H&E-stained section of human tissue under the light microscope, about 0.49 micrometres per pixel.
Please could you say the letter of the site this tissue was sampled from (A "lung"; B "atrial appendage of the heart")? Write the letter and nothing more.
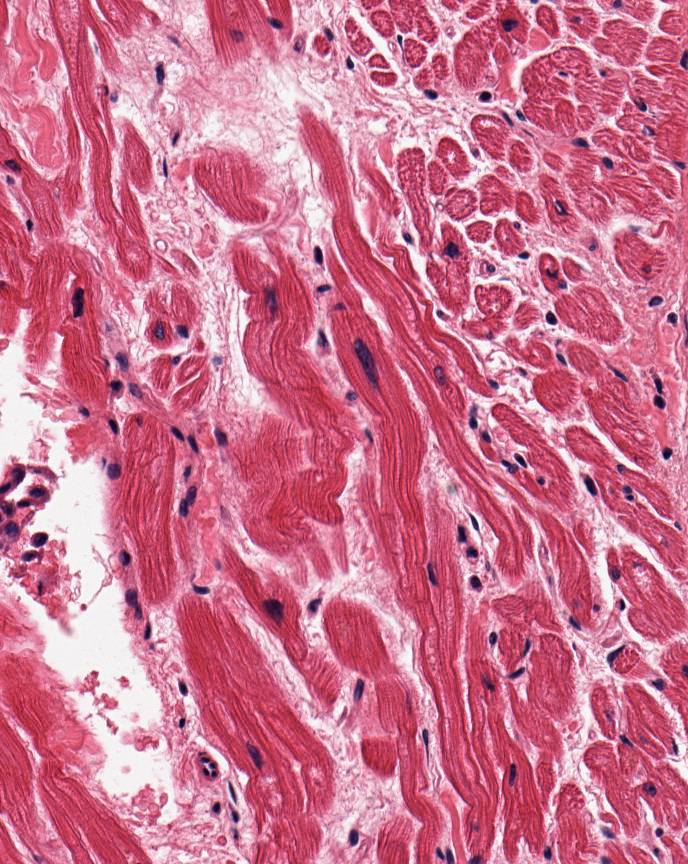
B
